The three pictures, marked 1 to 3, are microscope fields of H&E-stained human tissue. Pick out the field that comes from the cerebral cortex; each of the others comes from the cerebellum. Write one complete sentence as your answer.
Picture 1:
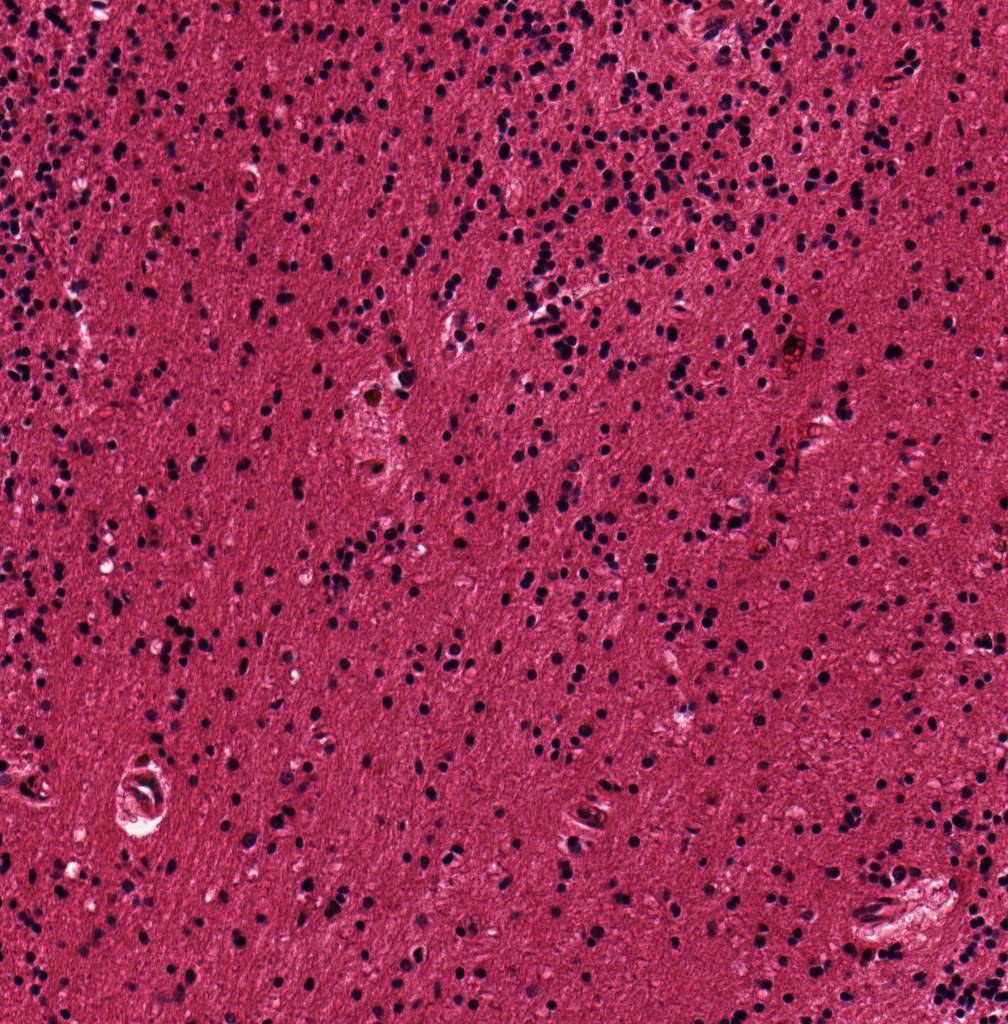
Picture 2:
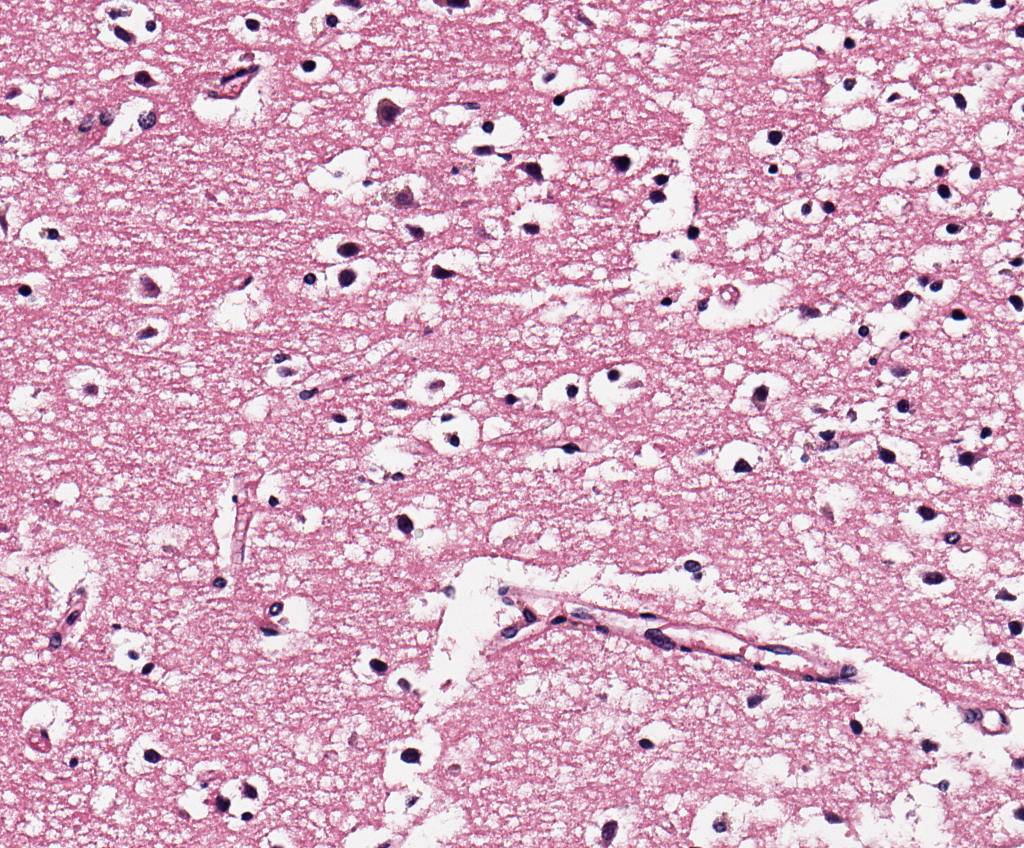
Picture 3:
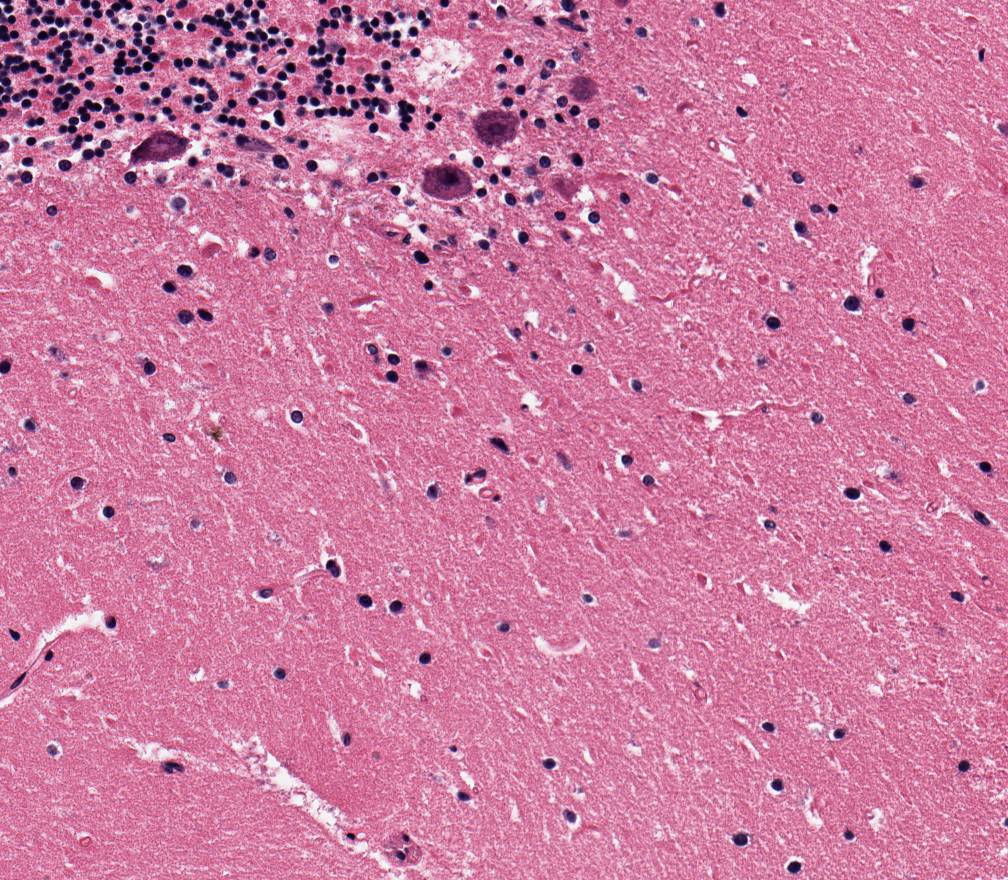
It is picture 2 that comes from the cerebral cortex.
